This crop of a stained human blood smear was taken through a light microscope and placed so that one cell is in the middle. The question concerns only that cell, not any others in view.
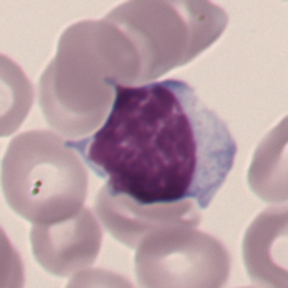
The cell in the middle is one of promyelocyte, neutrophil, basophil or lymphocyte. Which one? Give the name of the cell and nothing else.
lymphocyte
